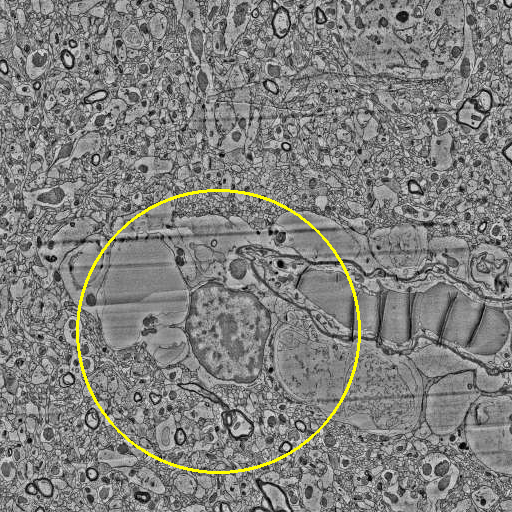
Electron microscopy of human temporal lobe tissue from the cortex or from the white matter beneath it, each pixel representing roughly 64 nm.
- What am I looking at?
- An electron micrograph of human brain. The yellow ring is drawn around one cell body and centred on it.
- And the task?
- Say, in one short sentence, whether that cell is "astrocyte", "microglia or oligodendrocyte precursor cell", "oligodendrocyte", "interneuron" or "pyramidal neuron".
The cell in the middle of the ring is a microglial cell or oligodendrocyte precursor cell.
